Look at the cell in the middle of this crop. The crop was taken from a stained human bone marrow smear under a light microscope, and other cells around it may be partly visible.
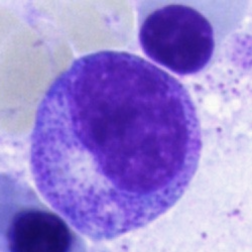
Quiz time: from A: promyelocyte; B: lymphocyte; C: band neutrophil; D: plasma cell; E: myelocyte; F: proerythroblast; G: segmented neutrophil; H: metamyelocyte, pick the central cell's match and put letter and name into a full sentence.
This one is option E, since the cell at the center is a myelocyte.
